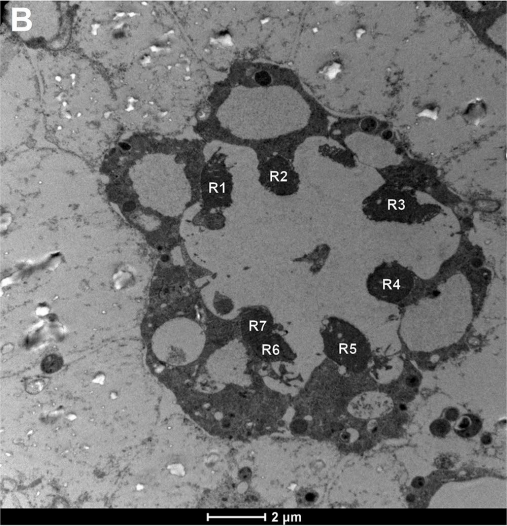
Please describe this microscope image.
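This electron micrograph shows an ommatidium of the fly retina in cross-section with disordered photoreceptor neurons, a picture of retinal degeneration. The dark profiles of the photoreceptors are irregular, some ragged or fragmented, and no longer form a neat cluster. They lie at the edge of a wide pale central space. The surrounding cytoplasm is dark and holds several large pale vacuoles and scattered dense bodies. The whole group sits isolated in a broad pale area with little recognisable surrounding tissue.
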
